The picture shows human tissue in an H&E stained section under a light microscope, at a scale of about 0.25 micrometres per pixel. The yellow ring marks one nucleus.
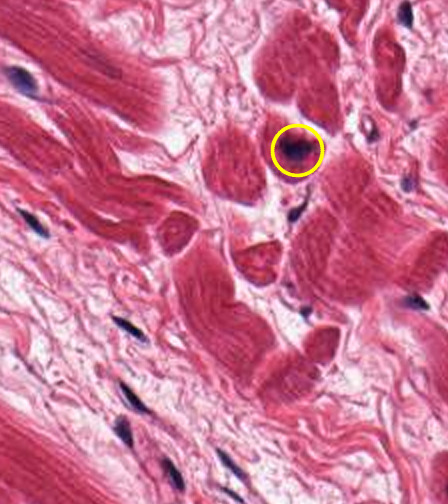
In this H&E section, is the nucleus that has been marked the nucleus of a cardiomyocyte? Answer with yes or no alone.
yes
